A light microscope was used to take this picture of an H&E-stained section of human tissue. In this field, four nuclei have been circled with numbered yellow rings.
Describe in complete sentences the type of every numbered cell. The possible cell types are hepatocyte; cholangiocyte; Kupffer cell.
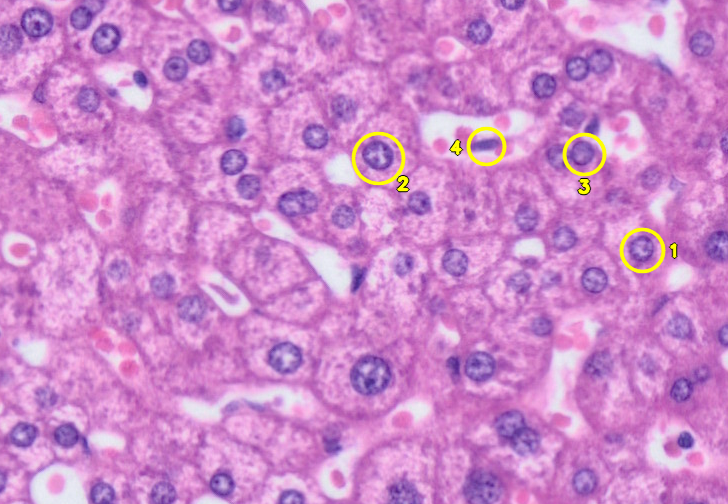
Cell 1 is a hepatocyte, cell 2 is a hepatocyte, cell 3 is a hepatocyte and cell 4 is a Kupffer cell.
